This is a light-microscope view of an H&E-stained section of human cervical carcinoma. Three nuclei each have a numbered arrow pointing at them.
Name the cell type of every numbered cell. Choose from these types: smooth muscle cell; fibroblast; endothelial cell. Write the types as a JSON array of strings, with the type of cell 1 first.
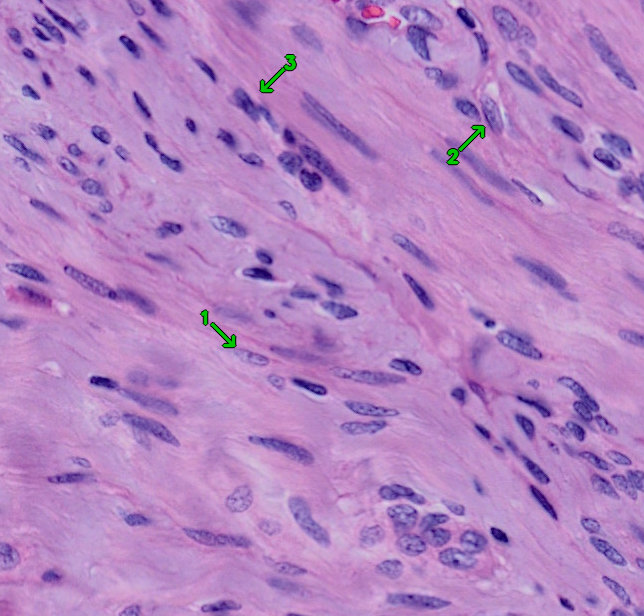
["smooth muscle cell", "endothelial cell", "fibroblast"]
